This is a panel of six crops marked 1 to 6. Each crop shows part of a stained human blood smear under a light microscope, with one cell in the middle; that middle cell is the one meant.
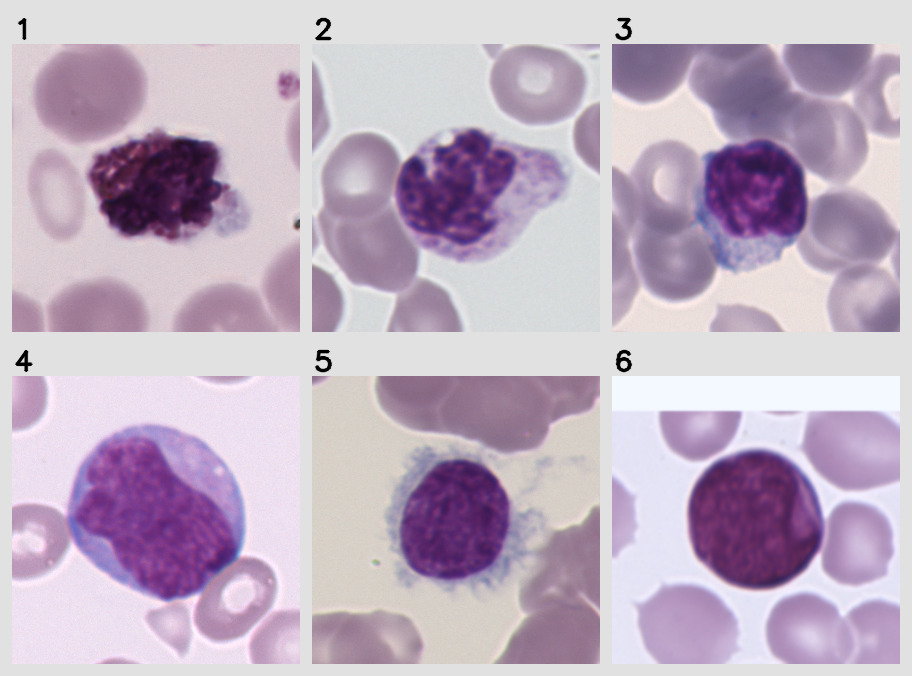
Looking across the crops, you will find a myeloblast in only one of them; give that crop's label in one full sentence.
The crop with a myeloblast at its center is crop 6.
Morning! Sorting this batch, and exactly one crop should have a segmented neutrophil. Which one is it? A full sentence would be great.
That would be crop 2; it shows a segmented neutrophil.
